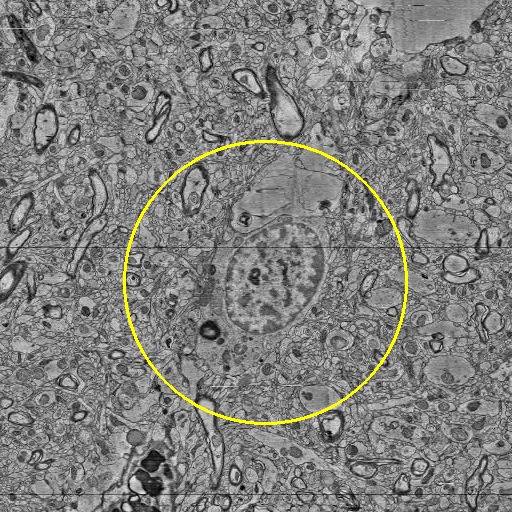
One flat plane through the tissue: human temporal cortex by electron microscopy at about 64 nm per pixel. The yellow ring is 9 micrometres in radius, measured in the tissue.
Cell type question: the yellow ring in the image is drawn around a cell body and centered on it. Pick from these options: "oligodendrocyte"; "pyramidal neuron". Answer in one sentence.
The ringed cell at the center is an oligodendrocyte.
